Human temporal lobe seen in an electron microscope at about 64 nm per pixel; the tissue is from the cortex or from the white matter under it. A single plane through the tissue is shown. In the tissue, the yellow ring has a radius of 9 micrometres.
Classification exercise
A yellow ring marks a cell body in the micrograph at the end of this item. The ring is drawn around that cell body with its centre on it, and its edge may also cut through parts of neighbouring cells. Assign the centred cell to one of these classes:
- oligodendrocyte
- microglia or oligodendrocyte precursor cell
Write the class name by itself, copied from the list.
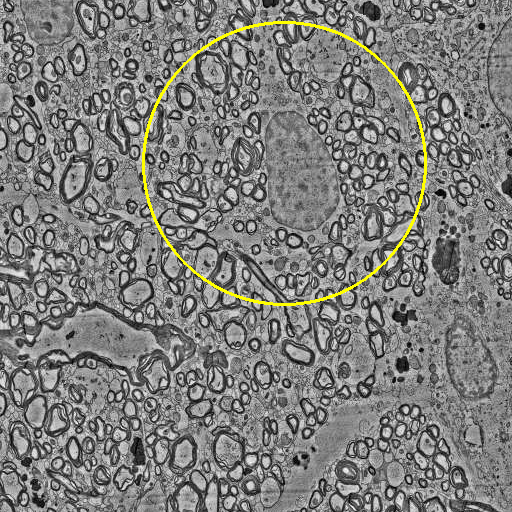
oligodendrocyte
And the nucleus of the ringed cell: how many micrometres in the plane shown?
The nucleus is approximately 8 micrometers long by 5 micrometers wide in this plane.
